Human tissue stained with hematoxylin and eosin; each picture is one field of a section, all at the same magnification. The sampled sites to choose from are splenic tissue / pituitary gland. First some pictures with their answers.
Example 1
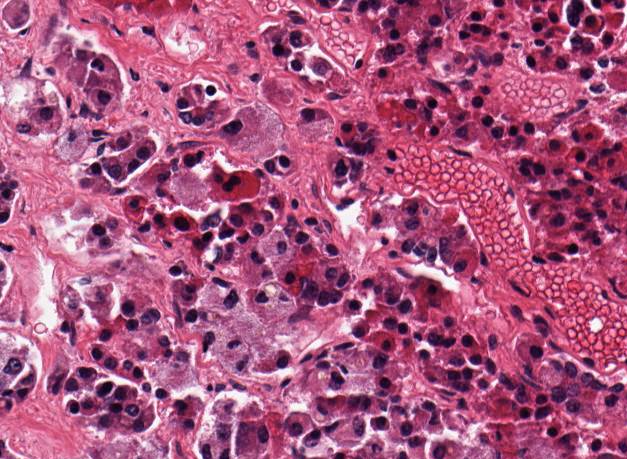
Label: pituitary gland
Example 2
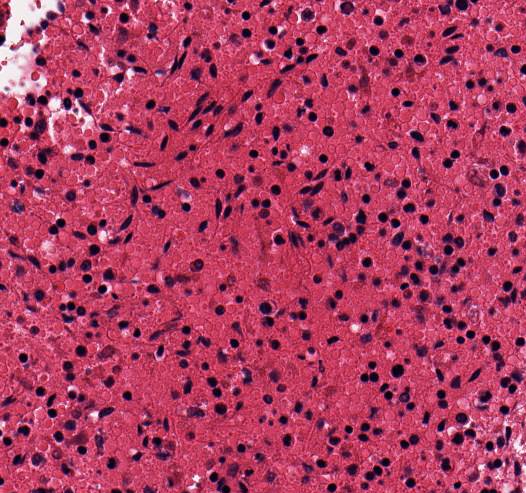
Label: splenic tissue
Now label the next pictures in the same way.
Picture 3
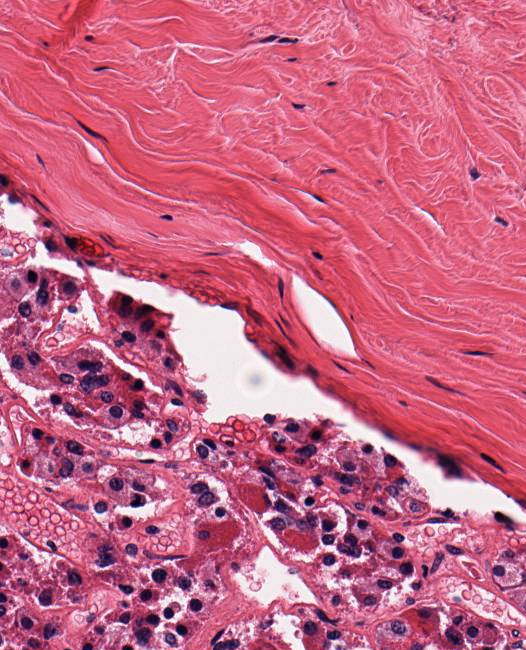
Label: pituitary gland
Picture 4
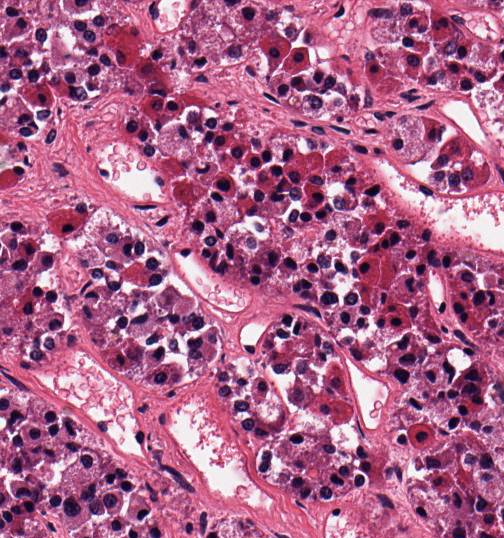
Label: pituitary gland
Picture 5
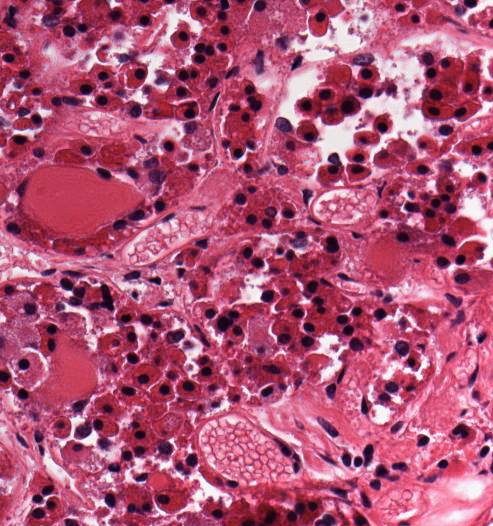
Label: pituitary gland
